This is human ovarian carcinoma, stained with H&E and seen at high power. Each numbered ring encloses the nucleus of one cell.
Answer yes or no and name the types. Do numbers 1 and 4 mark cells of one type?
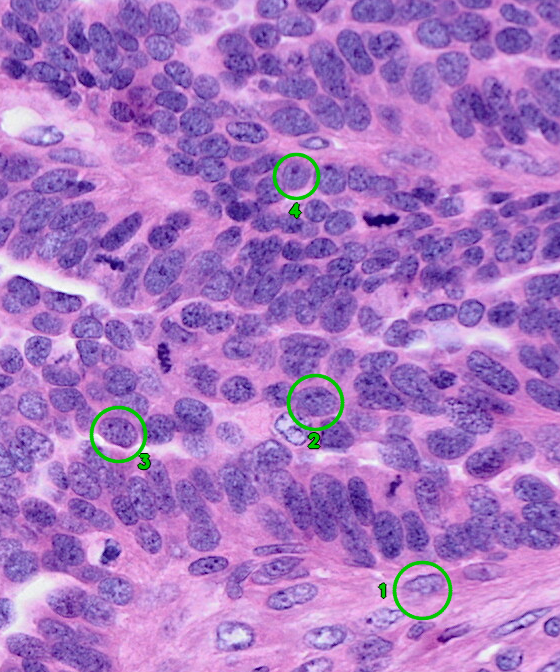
No, what is marked as cell 1 is a fibroblast, and what is marked as cell 4 is a carcinoma cell.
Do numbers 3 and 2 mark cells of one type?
Yes, cells 3 and 2 fall into the same group, both being carcinoma cells.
